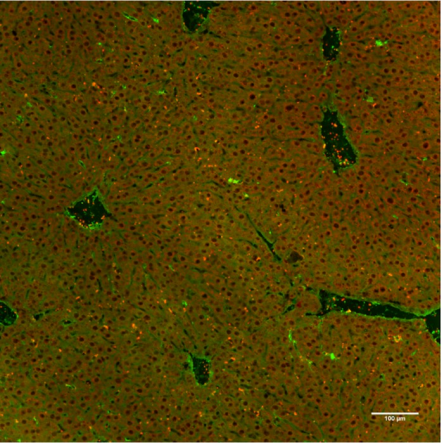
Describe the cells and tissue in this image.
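Liver parenchyma of hepatocytes with dark red nuclei, crossed by several dark vessel lumens. Small orange dots are scattered through the tissue and within some vessel lumens, which also hold green specks. Green lines between the cell plates are faint.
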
